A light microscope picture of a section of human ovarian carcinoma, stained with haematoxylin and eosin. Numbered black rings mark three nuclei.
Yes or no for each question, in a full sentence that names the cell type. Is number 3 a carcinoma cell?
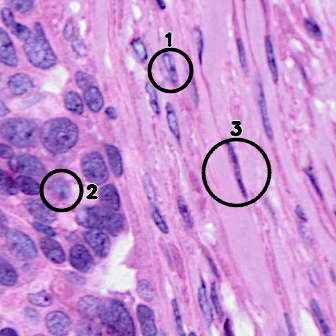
No, the identification of cell 3 as a carcinoma cell is incorrect; it is a fibroblast.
